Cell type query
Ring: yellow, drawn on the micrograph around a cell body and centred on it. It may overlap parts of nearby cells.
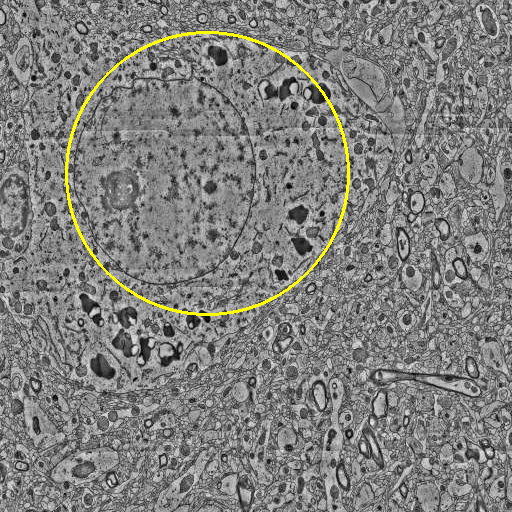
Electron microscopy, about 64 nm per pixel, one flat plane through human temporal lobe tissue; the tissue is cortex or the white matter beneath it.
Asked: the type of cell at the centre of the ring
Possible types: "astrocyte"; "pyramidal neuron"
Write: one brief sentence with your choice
The ring marks a pyramidal neuron.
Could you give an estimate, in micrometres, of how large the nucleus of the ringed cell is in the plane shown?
The nucleus of the ringed cell is approximately 13 micrometres across in this plane.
